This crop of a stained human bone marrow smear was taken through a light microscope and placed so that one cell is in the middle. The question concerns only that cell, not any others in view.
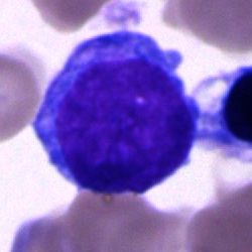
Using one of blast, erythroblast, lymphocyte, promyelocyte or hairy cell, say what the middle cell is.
blast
